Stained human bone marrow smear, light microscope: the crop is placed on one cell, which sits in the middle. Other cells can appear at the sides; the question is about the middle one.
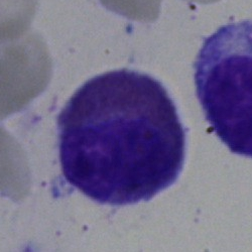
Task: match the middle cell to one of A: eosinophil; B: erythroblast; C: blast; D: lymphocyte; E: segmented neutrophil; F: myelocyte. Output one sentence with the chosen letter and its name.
Here the right option is A, as the cell in the middle is an eosinophil.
